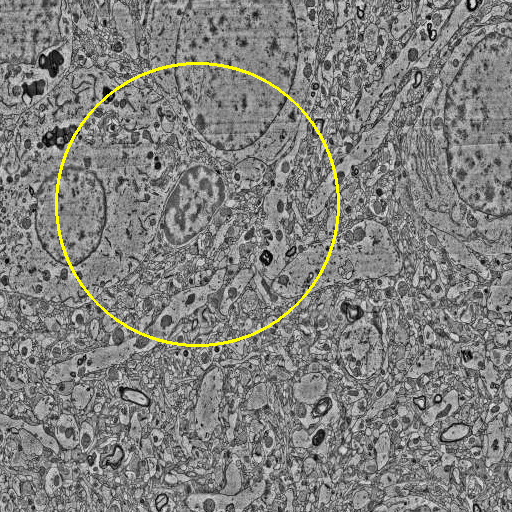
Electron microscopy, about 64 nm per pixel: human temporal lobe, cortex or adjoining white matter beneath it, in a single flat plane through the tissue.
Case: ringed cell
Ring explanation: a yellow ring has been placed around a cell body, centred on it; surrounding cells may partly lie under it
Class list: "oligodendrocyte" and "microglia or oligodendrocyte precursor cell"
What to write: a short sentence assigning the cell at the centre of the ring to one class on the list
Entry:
The cell at the ring's centre is a microglial cell or oligodendrocyte precursor cell.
